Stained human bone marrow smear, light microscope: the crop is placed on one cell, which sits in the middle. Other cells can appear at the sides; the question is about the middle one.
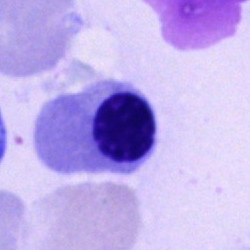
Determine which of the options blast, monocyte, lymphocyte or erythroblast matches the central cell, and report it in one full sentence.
The central cell shown in this smear crop is an erythroblast.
